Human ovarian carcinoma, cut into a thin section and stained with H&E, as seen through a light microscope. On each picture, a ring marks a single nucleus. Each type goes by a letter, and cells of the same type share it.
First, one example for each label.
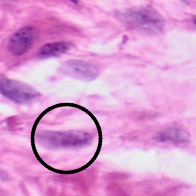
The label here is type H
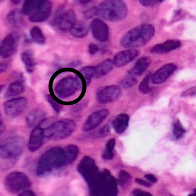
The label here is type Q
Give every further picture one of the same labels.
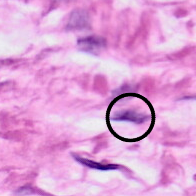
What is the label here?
type H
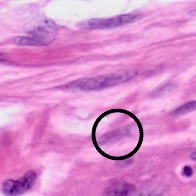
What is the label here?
type H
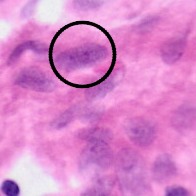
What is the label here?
type H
